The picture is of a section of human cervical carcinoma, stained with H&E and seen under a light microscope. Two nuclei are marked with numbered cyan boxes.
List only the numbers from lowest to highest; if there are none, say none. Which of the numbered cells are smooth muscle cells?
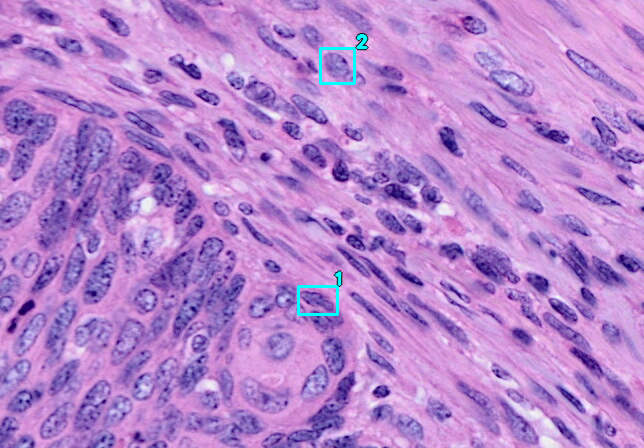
2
